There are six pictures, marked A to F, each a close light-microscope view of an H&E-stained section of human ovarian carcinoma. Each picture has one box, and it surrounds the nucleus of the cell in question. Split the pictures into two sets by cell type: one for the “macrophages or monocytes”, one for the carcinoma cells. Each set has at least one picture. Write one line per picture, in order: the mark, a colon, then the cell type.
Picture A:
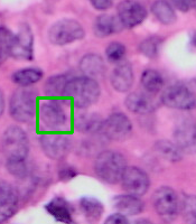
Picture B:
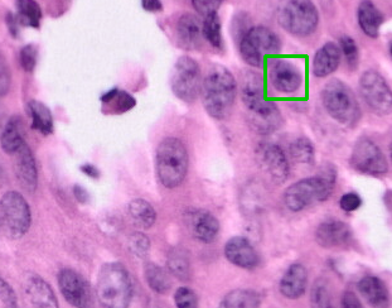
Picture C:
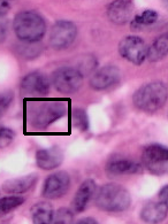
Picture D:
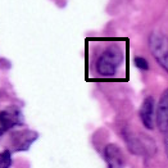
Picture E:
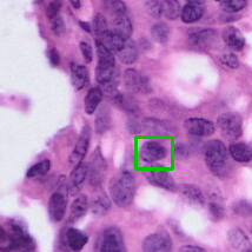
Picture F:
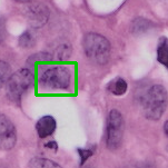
A: carcinoma cell
B: macrophage or monocyte
C: carcinoma cell
D: macrophage or monocyte
E: carcinoma cell
F: carcinoma cell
